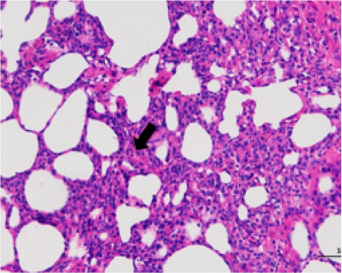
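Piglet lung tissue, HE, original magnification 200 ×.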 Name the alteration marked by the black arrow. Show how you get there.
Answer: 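Alveolar septa are thickened by many small dark nuclei. Air spaces are reduced in much of the field. So: inflammatory cell infiltration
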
